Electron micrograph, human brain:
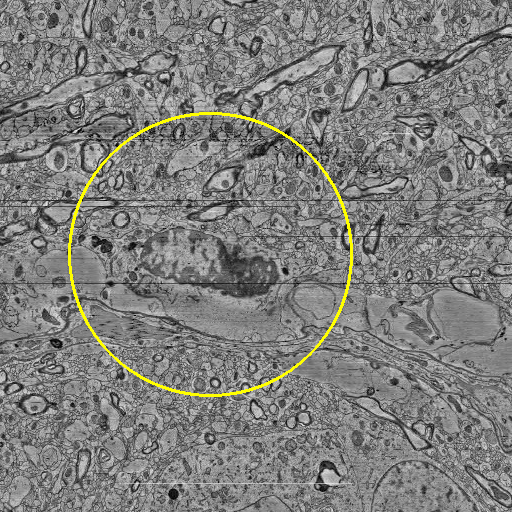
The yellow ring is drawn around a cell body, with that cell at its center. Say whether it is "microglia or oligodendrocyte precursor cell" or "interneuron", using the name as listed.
microglia or oligodendrocyte precursor cell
